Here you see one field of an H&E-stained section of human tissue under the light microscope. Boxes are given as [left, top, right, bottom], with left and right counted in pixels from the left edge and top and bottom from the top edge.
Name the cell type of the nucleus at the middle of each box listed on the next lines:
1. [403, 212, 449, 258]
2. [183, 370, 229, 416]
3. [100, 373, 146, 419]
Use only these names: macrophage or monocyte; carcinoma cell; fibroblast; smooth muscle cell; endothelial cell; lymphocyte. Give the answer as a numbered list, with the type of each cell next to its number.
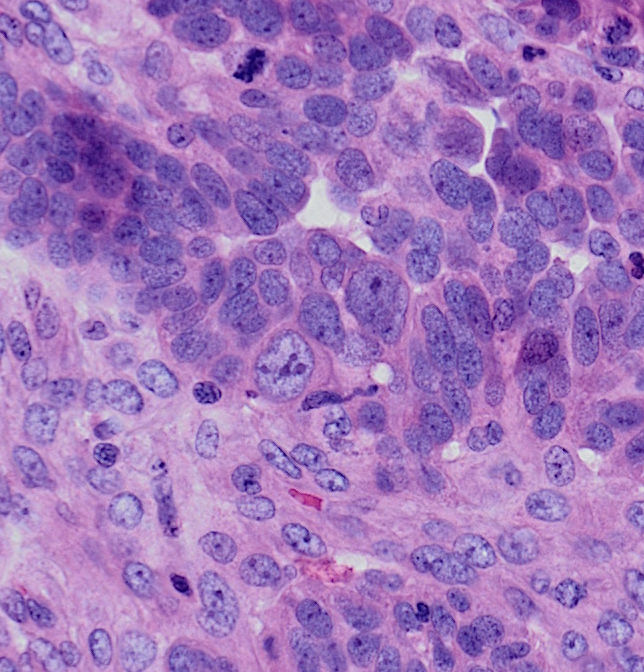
1. carcinoma cell
2. lymphocyte
3. fibroblast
